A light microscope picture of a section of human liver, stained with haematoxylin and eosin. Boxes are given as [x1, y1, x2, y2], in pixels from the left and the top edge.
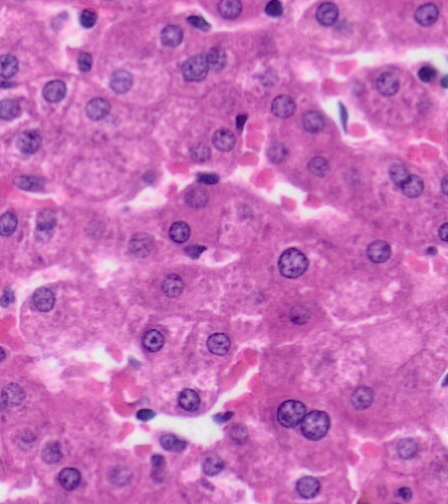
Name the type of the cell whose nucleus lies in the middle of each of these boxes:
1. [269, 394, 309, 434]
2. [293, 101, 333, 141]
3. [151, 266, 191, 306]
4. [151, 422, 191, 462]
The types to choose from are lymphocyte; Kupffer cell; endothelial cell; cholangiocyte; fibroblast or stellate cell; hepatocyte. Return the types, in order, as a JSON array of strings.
["hepatocyte", "hepatocyte", "hepatocyte", "Kupffer cell"]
